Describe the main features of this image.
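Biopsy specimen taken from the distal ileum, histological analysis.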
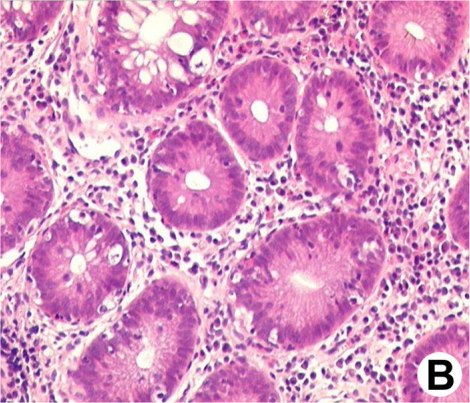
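Intestinal crypts are cut in cross section, each a ring of tall columnar epithelial cells with elongated purple nuclei around a small central lumen. Some crypts contain goblet cells with clear, pale mucin vacuoles. The crypts lie in a lamina propria densely filled with small, dark-nucleated cells.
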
